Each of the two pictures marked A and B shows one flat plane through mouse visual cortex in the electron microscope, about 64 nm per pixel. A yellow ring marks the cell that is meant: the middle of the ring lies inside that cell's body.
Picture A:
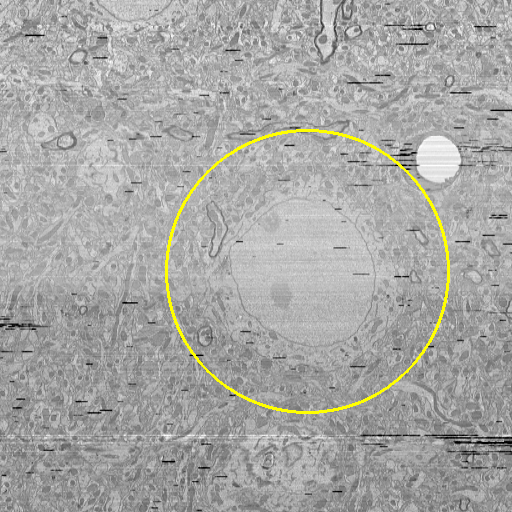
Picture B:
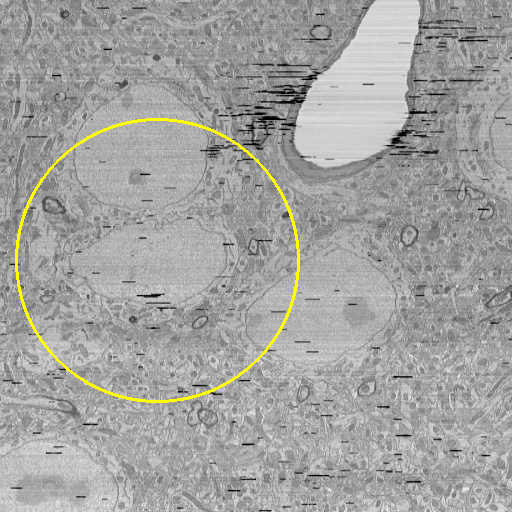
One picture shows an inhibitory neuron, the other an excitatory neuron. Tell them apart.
Picture A is of an excitatory neuron, and picture B is of an inhibitory neuron.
